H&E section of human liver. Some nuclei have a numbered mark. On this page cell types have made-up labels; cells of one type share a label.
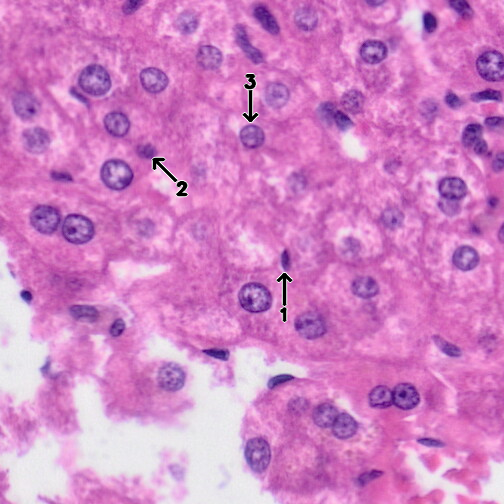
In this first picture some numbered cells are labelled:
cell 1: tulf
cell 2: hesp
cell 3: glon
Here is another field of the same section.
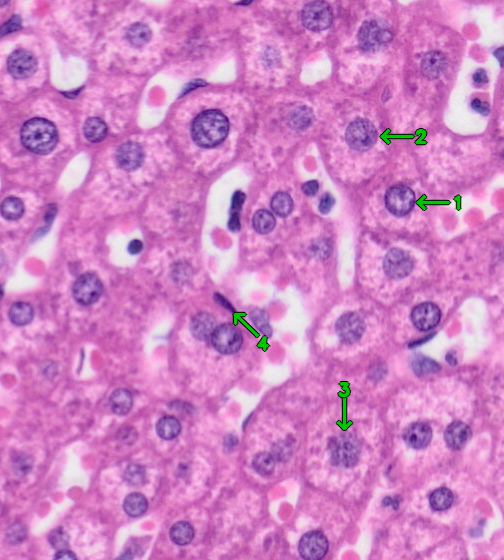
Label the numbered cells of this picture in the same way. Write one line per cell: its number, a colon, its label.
1: glon
2: glon
3: glon
4: hesp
